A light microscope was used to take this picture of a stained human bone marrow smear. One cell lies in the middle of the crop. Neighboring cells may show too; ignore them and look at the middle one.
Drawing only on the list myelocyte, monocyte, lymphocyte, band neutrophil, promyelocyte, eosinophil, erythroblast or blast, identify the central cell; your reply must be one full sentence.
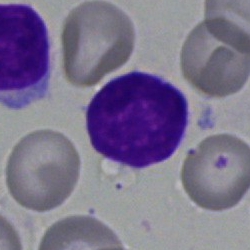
In this smear crop, the middle cell is a lymphocyte.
